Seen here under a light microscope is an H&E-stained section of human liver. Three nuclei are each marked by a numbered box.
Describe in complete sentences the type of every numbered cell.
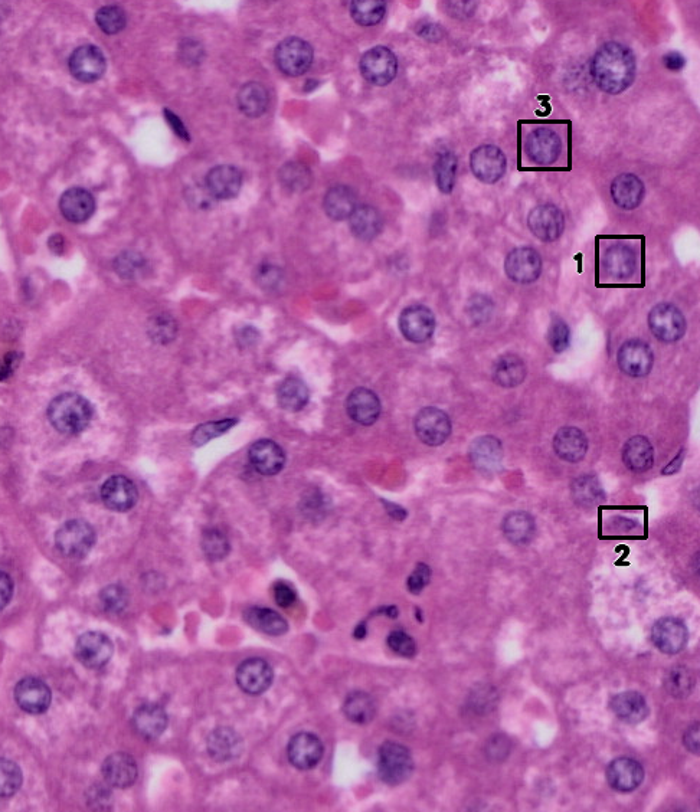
Cell 1 is a hepatocyte, cell 2 is an endothelial cell and cell 3 is a hepatocyte.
